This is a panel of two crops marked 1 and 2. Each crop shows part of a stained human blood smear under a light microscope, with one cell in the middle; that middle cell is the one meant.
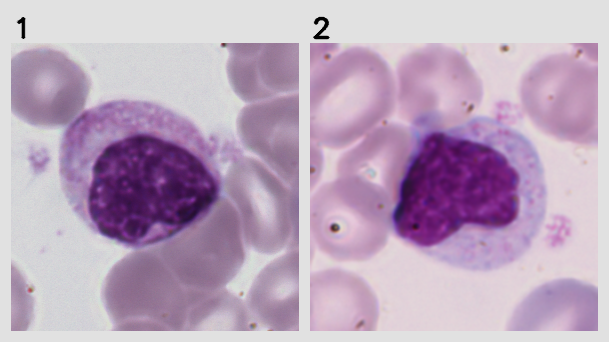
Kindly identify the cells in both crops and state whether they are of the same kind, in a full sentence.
Yes, metamyelocytes are present at the centre of both crops.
